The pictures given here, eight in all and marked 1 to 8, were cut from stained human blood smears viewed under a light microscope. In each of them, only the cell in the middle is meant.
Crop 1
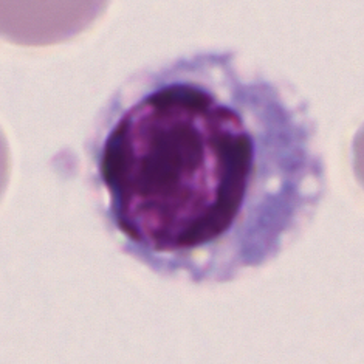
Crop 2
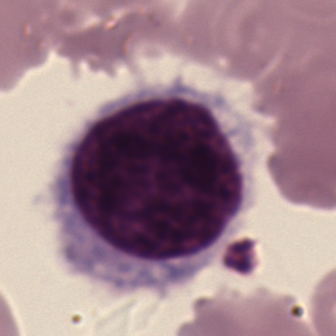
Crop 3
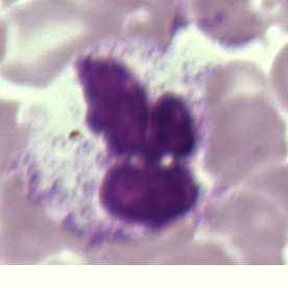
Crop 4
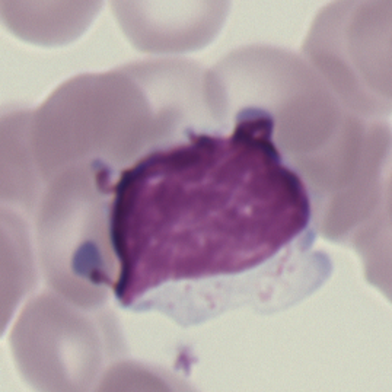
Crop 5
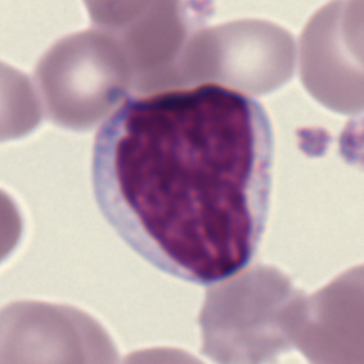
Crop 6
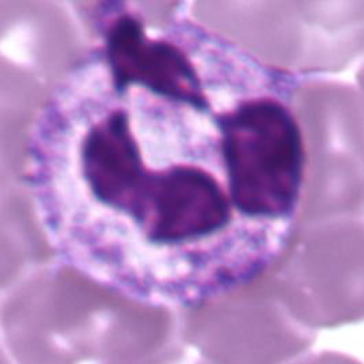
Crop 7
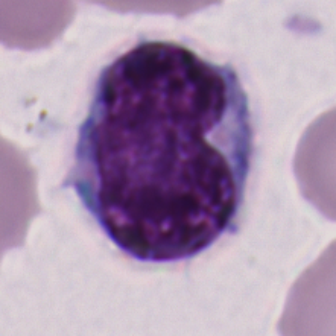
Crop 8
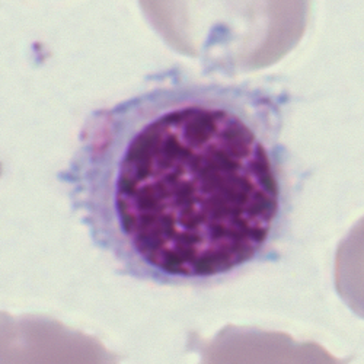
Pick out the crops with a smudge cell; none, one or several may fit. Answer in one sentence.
No crop at all in this series shows a smudge cell.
